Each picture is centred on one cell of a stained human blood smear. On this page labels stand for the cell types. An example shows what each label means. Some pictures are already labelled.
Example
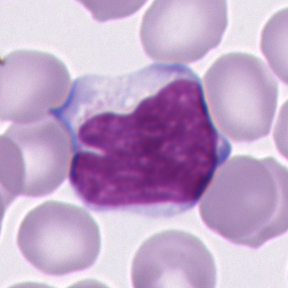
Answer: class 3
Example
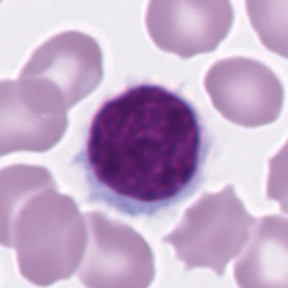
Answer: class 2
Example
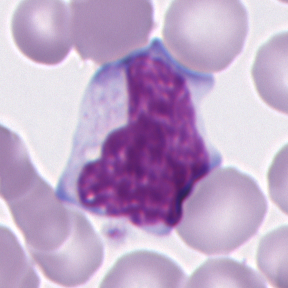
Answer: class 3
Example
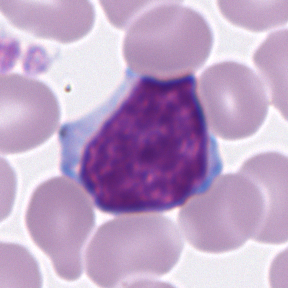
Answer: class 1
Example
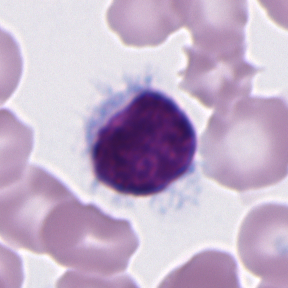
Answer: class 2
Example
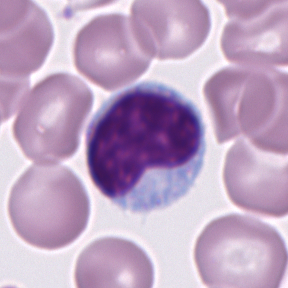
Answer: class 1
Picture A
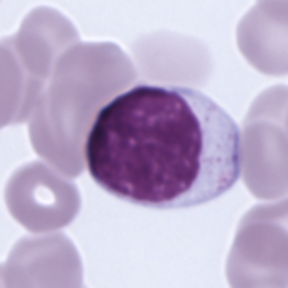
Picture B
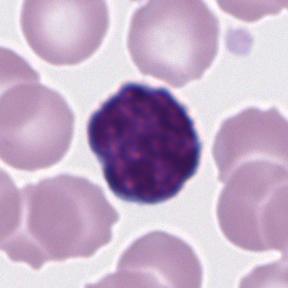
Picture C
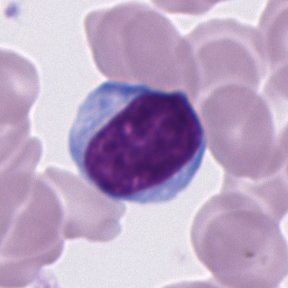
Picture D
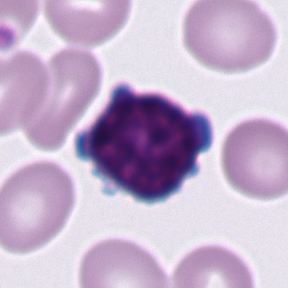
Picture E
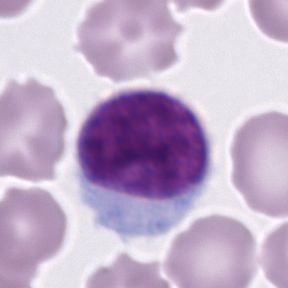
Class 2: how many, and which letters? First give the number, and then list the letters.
1, namely E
